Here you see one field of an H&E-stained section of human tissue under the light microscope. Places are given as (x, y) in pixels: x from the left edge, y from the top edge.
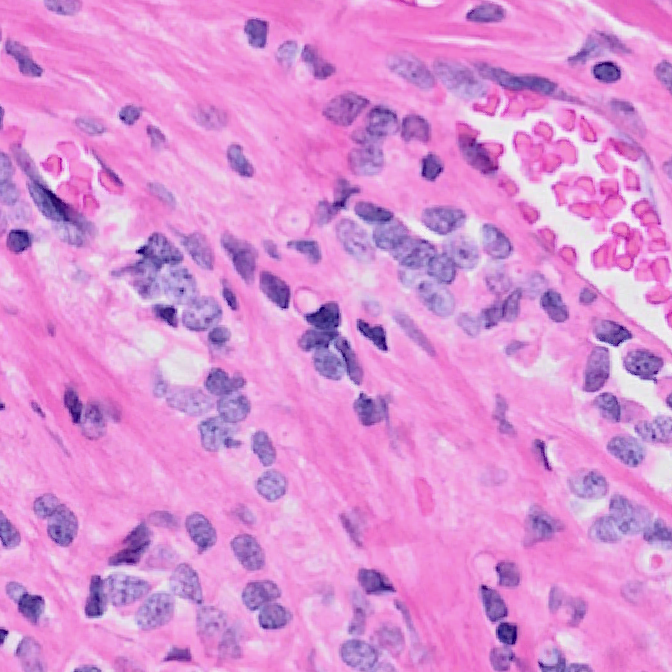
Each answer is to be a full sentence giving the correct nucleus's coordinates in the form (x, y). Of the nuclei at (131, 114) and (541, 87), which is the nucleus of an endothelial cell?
Of the two candidate nuclei, the one at (541, 87) is that of an endothelial cell.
